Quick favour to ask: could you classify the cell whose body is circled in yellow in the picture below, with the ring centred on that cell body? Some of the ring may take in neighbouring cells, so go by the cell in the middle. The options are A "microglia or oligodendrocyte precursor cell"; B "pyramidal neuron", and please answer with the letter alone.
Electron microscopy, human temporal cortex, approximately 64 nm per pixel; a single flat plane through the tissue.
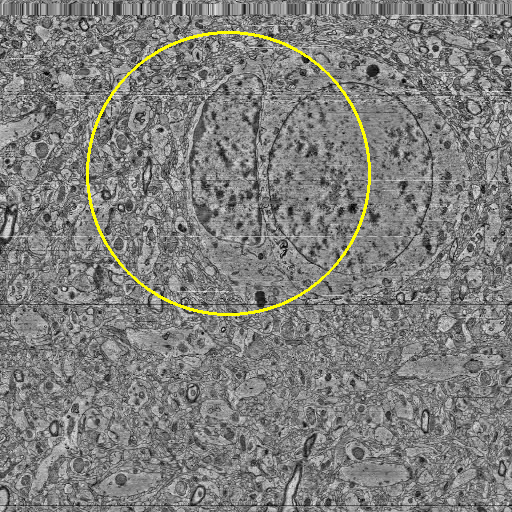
A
